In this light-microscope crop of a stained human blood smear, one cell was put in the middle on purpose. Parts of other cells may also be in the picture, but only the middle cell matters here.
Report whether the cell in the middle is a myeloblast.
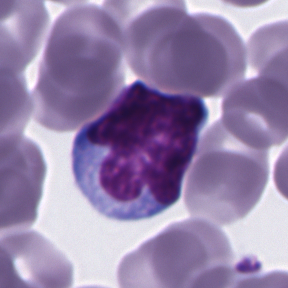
no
